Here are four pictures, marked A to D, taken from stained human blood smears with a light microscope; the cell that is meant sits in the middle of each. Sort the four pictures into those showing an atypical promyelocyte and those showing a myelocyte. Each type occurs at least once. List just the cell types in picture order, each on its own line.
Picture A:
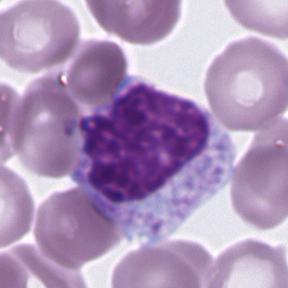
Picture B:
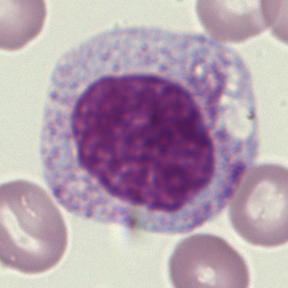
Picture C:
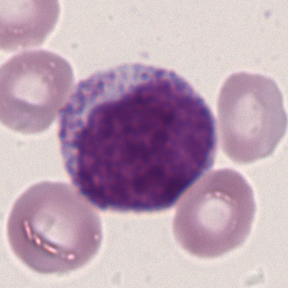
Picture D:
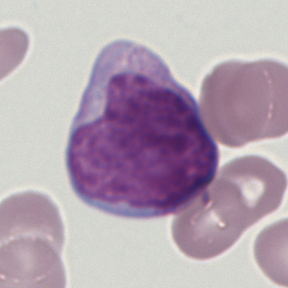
myelocyte
myelocyte
myelocyte
atypical promyelocyte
